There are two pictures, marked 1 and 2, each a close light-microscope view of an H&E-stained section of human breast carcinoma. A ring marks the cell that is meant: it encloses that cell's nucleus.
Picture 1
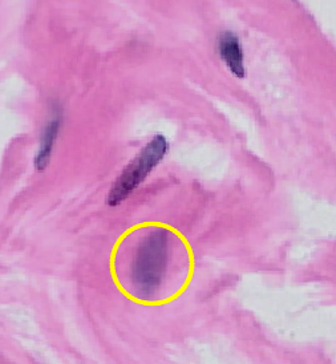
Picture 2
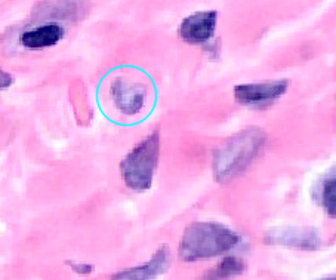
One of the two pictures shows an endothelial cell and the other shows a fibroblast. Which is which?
1: fibroblast
2: endothelial cell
